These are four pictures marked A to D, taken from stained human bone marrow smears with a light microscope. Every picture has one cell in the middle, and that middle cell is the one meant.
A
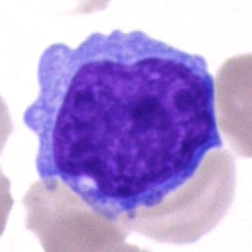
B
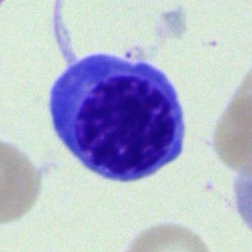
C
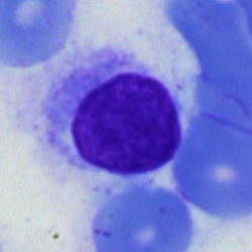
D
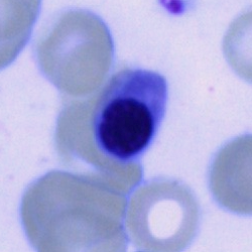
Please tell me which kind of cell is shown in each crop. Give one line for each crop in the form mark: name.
A: blast
B: normoblast
C: hairy cell
D: normoblast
